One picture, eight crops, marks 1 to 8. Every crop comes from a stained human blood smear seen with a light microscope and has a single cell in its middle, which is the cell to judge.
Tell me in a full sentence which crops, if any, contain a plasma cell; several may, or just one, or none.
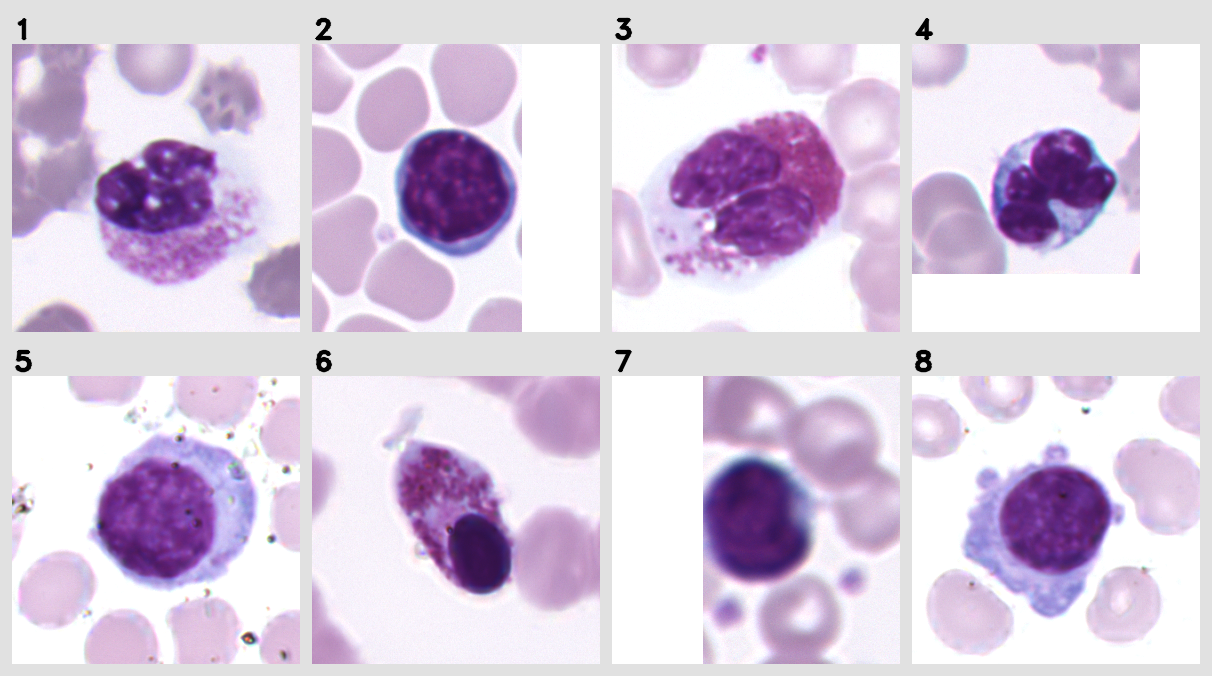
Within this set, crops 5 and 8 show plasma cells.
